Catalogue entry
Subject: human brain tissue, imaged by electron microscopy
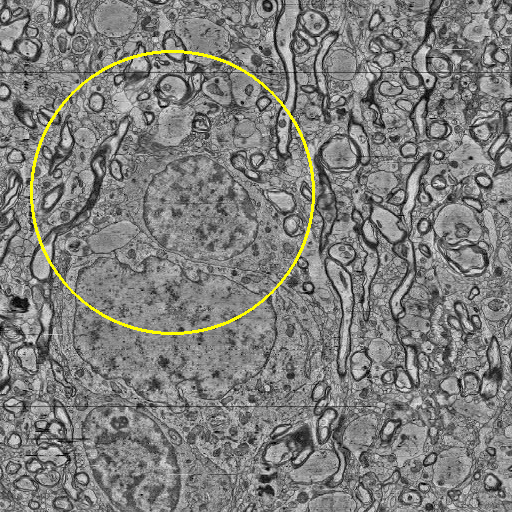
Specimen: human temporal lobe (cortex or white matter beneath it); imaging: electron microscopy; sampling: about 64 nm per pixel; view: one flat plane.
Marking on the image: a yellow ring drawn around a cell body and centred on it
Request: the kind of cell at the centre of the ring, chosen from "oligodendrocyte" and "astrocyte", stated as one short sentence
The ring has an oligodendrocyte at its centre.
